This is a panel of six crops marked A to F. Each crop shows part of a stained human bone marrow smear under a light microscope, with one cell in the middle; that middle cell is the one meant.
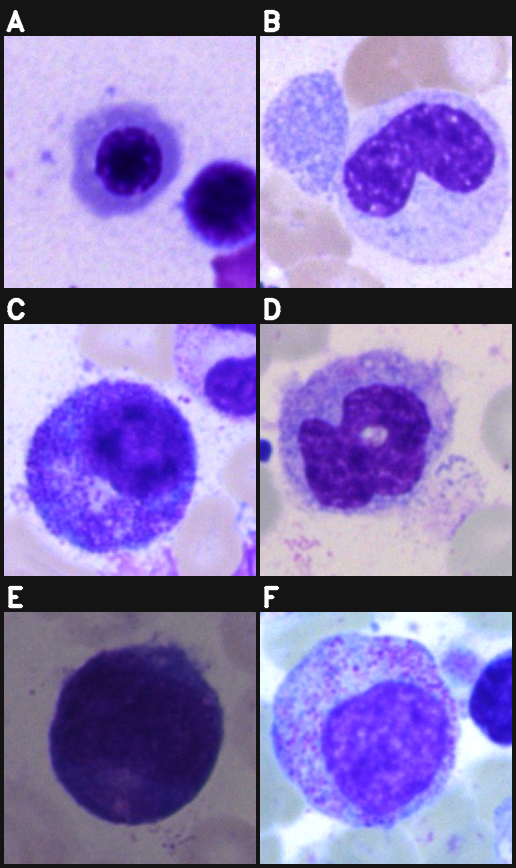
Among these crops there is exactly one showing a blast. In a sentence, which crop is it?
The crop in which a blast is shown is crop E.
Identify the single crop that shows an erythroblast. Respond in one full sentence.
The crop that has an erythroblast in the middle is crop A.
